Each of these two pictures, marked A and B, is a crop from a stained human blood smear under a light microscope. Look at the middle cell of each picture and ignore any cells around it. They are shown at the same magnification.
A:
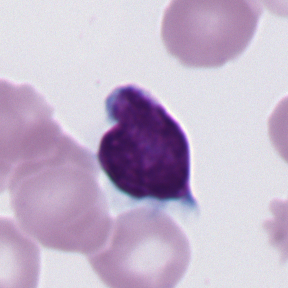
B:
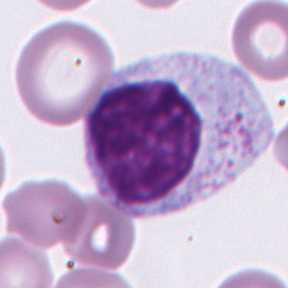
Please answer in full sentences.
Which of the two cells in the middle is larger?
The cell in picture B is larger, with about 2.5 times the area of the one in picture A.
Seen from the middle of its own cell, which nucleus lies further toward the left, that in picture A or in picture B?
The nucleus in picture B lies further toward the left of its cell.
